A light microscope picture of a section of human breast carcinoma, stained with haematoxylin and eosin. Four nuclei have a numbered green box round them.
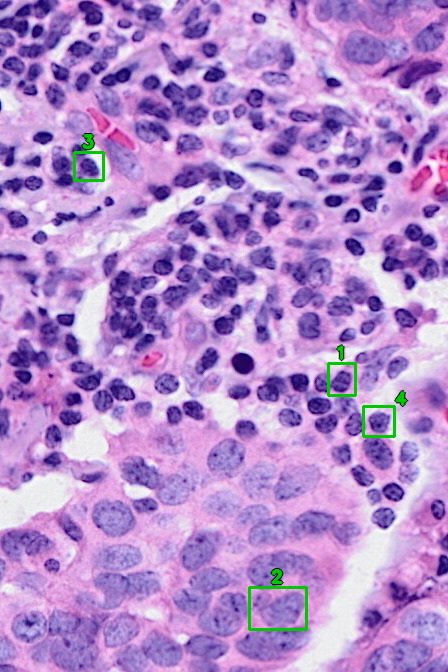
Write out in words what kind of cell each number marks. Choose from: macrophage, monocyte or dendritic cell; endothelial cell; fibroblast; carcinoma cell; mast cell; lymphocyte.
Cell 1 is a lymphocyte, cell 2 is a carcinoma cell, cell 3 is a lymphocyte and cell 4 is a lymphocyte.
